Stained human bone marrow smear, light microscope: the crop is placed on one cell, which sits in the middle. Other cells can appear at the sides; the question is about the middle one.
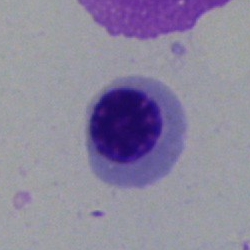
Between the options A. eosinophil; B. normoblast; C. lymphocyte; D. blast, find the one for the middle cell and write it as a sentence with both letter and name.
The central cell is a normoblast, which makes option B the right answer.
